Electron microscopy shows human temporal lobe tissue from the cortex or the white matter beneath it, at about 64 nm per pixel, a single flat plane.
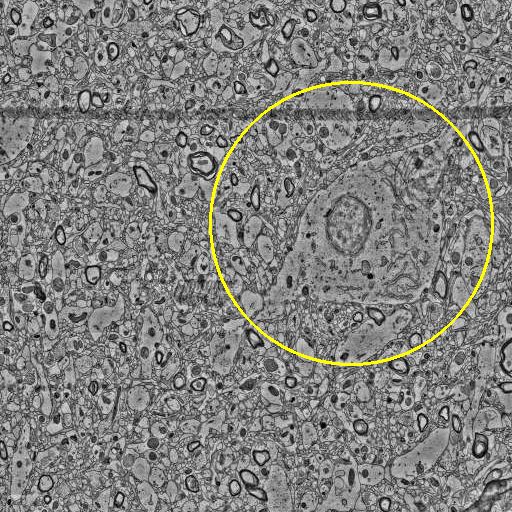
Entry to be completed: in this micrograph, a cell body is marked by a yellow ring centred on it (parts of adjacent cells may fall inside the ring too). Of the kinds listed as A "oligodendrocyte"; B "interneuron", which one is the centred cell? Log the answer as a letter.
B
